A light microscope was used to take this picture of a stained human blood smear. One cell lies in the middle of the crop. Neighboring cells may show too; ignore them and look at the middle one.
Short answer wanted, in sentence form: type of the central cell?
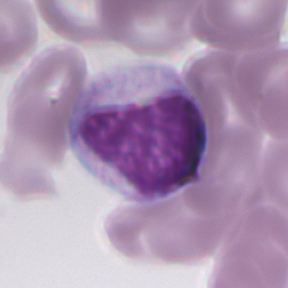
The cell positioned in the middle of the field is a metamyelocyte.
